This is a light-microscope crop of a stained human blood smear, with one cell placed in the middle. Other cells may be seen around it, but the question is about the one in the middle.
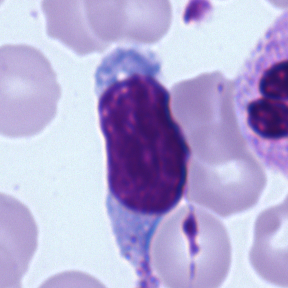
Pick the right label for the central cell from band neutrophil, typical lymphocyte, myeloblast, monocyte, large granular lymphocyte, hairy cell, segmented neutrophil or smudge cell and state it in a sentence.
In the centre of this crop there is a typical lymphocyte.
